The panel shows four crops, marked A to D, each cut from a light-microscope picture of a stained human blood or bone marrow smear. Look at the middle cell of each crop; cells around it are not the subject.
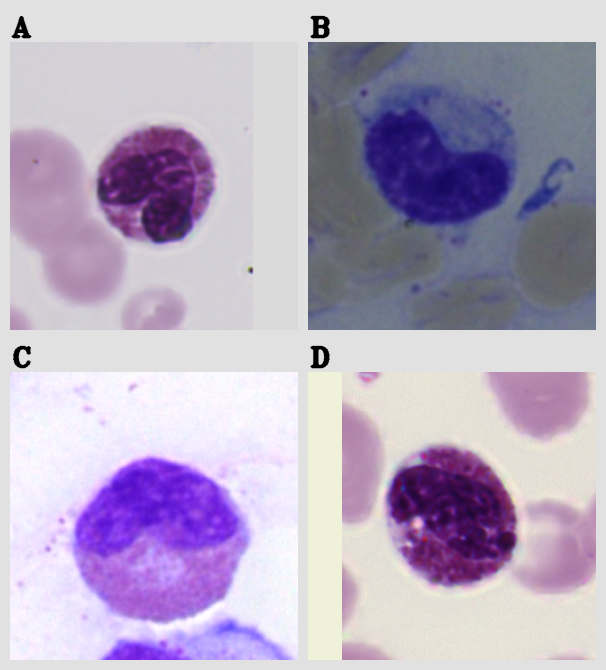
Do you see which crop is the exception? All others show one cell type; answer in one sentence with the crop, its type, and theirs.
Crop B is a metamyelocyte, unlike the other crops, which all show eosinophils.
